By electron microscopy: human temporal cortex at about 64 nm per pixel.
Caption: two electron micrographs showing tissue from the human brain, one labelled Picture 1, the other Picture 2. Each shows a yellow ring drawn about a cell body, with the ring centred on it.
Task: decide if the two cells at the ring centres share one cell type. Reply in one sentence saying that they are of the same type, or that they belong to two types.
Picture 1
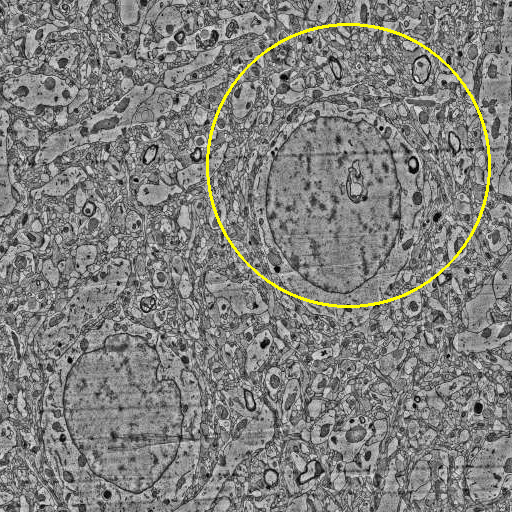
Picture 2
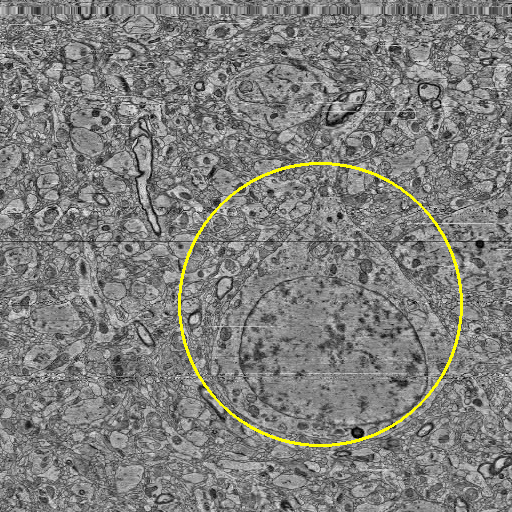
The cells at the ring centres in Picture 1 and Picture 2 are of the same type.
